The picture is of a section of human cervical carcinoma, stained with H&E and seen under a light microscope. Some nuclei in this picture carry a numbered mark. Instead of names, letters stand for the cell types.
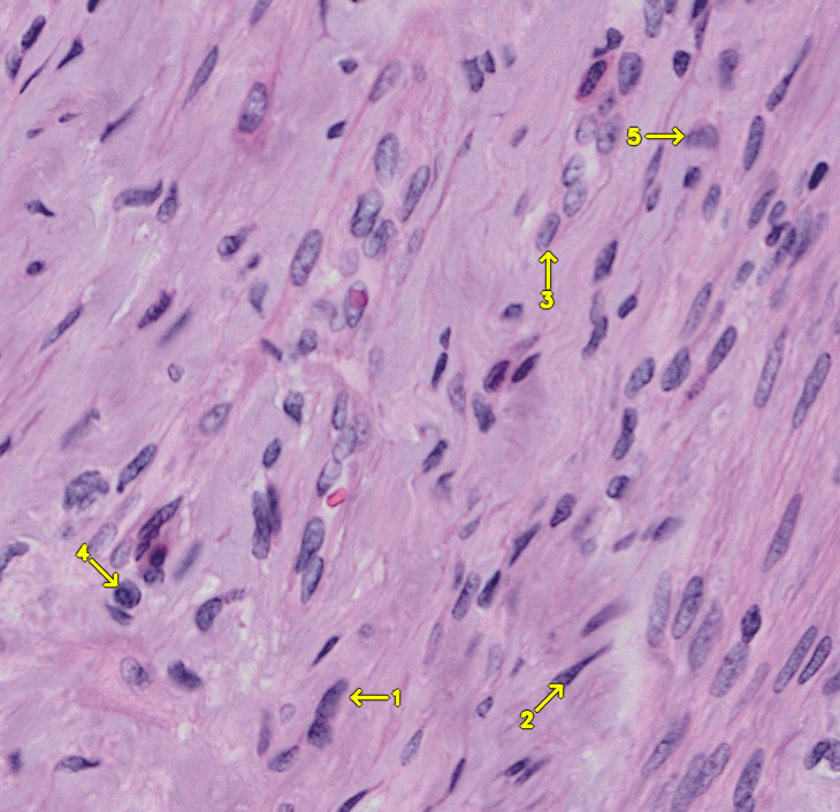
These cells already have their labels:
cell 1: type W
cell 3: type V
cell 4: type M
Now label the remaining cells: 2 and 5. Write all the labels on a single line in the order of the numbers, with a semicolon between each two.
type W; type W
